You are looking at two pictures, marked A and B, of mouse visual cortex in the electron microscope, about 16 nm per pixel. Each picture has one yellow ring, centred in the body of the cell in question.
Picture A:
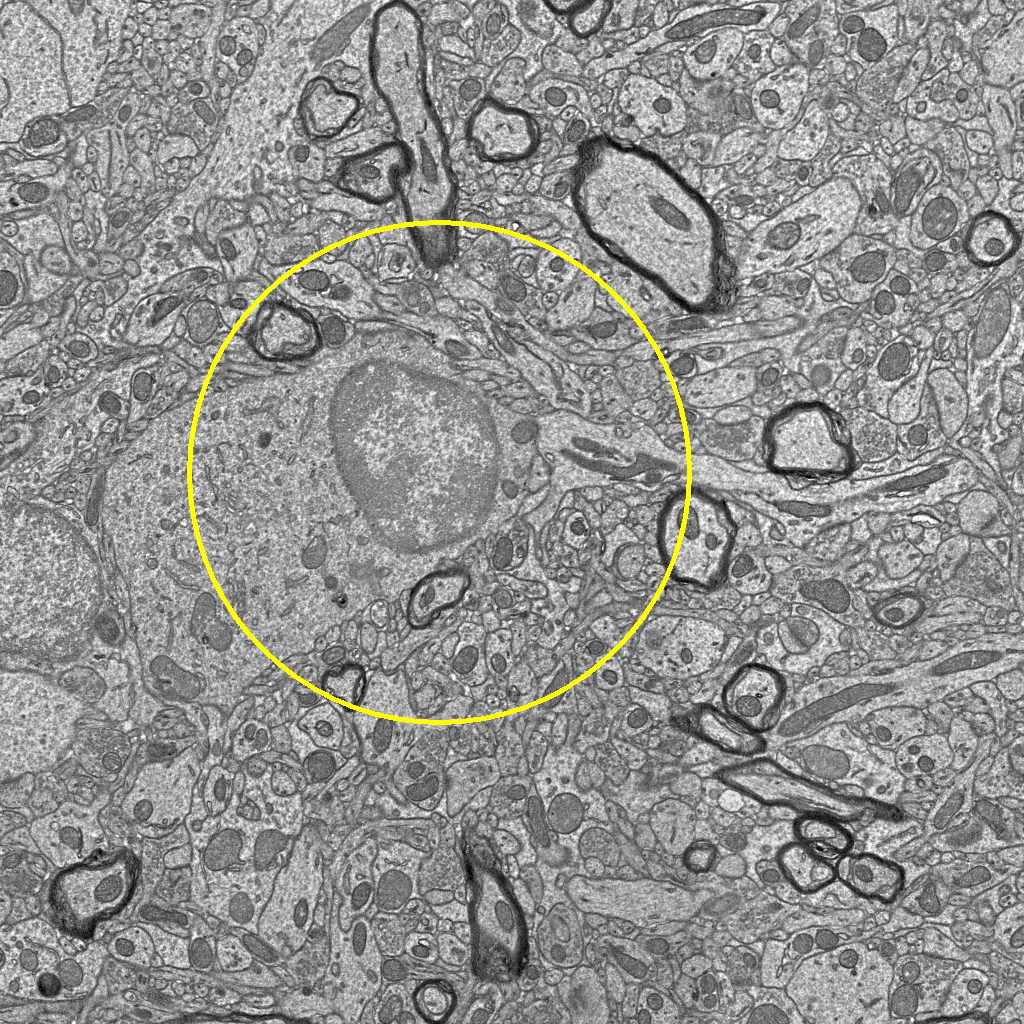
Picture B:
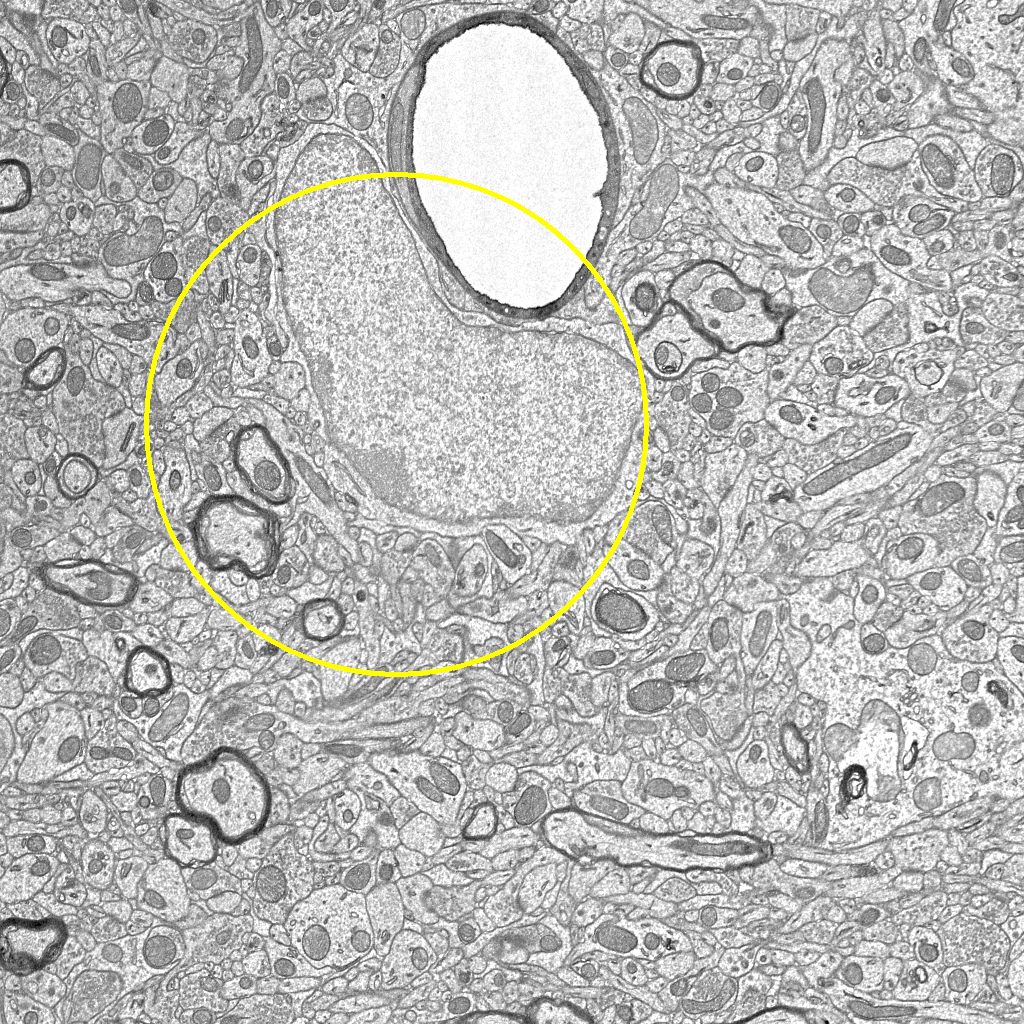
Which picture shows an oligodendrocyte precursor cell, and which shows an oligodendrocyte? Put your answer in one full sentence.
It is picture A that shows an oligodendrocyte, and picture B that shows an oligodendrocyte precursor cell.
